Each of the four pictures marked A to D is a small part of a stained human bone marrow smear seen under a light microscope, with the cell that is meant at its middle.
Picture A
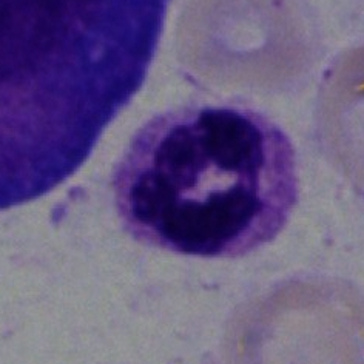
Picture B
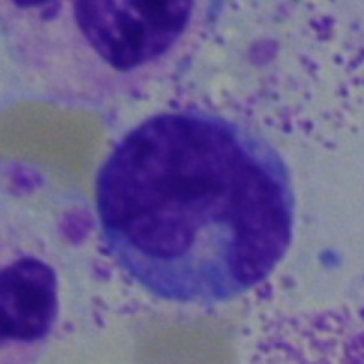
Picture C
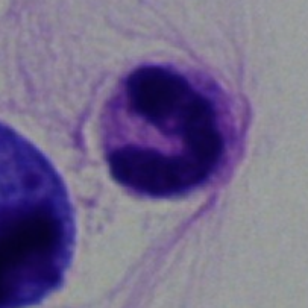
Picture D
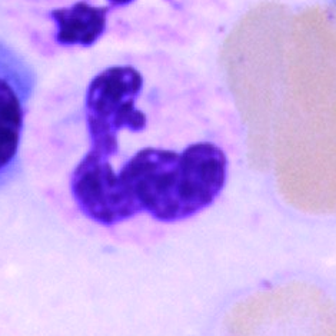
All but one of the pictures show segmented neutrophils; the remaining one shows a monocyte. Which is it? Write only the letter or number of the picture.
B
